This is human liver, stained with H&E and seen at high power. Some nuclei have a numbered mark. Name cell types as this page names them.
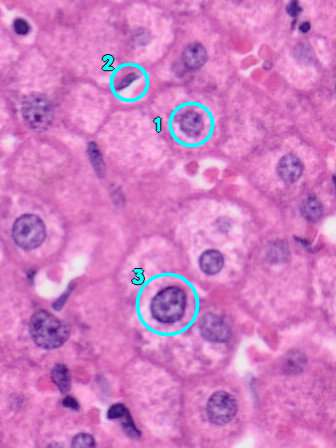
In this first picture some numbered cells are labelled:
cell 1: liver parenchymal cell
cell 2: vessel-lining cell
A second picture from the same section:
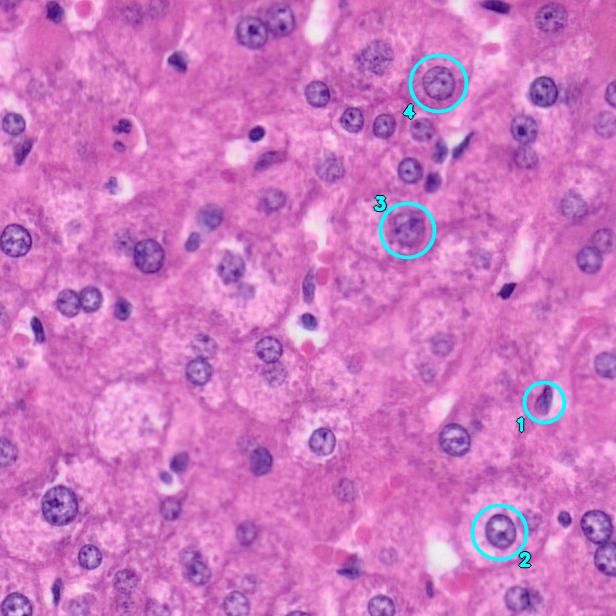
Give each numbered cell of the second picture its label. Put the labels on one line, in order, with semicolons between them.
vessel-lining cell; liver parenchymal cell; liver parenchymal cell; liver parenchymal cell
